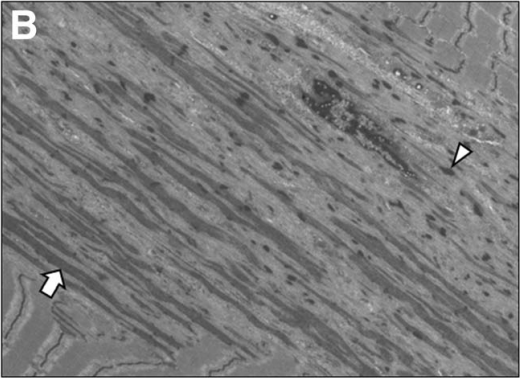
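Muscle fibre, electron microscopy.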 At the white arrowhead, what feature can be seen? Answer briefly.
Thickened short Z-line darker fragments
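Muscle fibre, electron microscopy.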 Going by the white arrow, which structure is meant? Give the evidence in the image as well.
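Electrodense longitudinally-smeared material. Long, dark, band-like streaks run diagonally in parallel. The regular cross-striation is absent in this area.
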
